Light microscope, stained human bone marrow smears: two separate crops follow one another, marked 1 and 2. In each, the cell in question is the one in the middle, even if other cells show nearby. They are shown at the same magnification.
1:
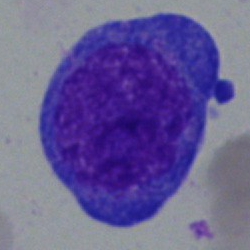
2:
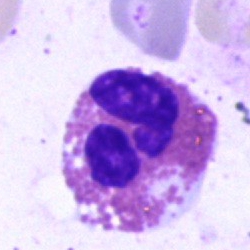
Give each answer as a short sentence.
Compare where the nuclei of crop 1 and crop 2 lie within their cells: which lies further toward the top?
The nucleus in crop 2 lies further toward the top of its cell.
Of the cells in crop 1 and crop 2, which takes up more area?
Crop 1 holds the larger cell; it covers about 1.5 times the area of the cell in crop 2.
